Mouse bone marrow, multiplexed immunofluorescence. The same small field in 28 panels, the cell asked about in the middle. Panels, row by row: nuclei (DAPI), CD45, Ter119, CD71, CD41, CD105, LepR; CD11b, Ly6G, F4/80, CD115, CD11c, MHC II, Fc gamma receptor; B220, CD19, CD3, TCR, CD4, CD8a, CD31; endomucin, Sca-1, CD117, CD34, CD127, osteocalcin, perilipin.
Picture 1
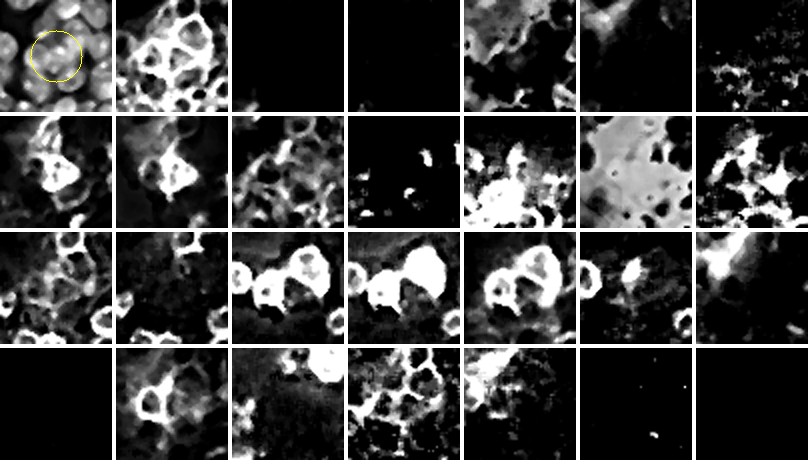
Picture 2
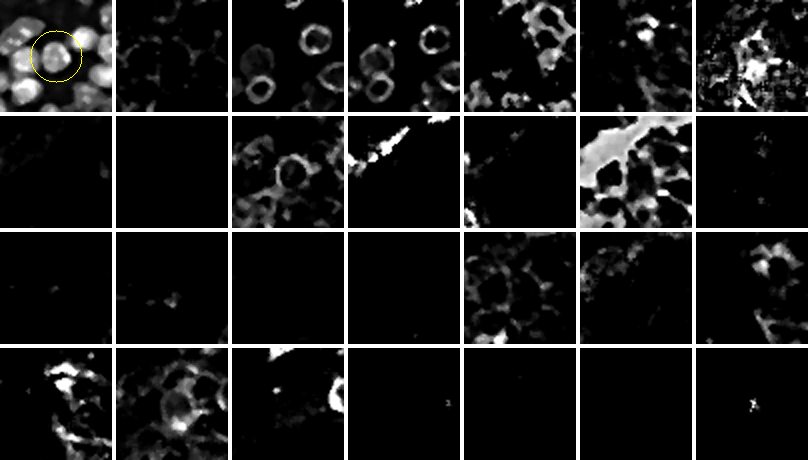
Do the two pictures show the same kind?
No: a conventional dendritic cell, then a LepR-positive perivascular cell.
